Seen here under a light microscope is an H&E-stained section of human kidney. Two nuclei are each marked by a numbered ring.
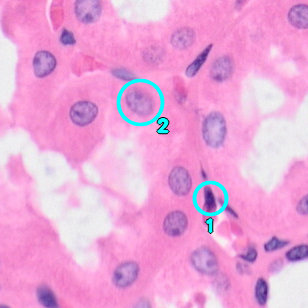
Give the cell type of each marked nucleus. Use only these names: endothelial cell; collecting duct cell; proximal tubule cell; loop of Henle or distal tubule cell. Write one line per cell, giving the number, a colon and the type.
1: endothelial cell
2: proximal tubule cell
